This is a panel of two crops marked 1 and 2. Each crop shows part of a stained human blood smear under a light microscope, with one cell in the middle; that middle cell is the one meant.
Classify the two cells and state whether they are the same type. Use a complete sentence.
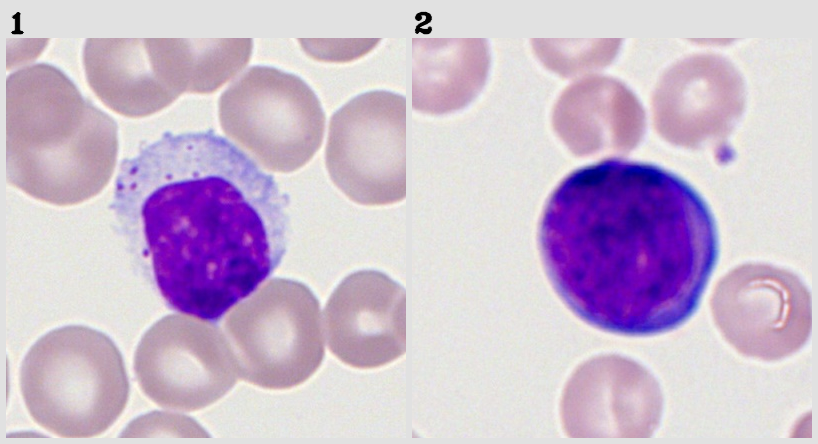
No, crop 1 shows a lymphocyte, and the cell in crop 2 is a myeloblast.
